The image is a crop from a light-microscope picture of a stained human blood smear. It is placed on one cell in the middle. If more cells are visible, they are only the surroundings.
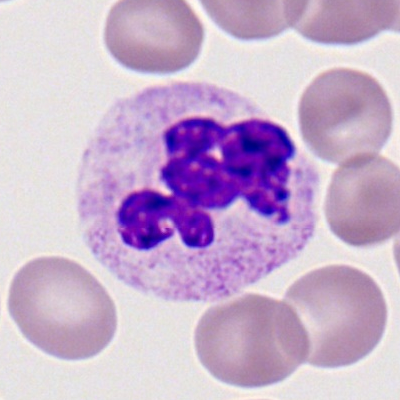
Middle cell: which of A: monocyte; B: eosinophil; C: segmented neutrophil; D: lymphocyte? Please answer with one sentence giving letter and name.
The central cell of the crop is a segmented neutrophil, which makes C the correct option.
